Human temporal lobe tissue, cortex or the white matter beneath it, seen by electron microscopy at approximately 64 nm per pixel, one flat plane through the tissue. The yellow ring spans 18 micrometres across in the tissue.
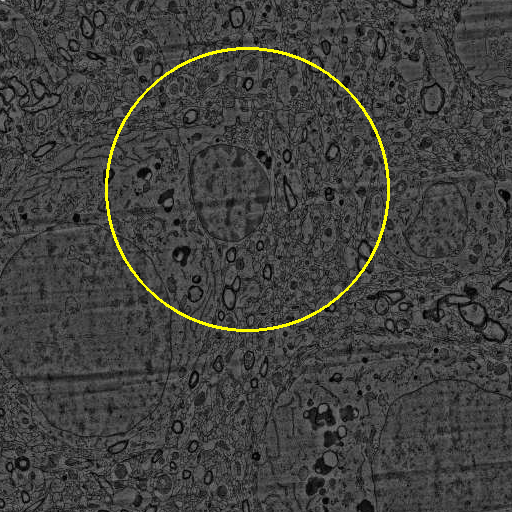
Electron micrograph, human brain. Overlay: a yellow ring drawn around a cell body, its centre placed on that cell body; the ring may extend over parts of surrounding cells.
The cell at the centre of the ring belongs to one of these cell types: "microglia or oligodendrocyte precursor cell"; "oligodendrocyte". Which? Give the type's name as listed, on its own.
microglia or oligodendrocyte precursor cell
